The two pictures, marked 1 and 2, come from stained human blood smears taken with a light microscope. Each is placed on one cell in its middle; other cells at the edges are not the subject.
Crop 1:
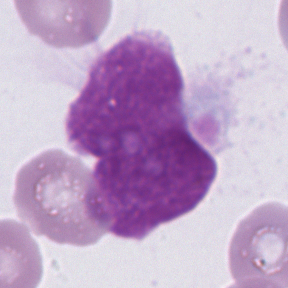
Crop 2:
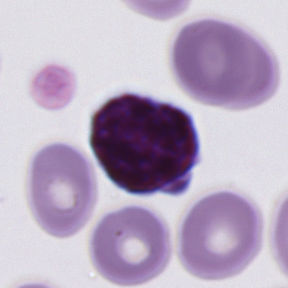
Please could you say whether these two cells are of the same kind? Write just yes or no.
no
